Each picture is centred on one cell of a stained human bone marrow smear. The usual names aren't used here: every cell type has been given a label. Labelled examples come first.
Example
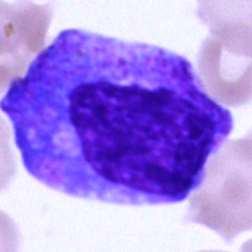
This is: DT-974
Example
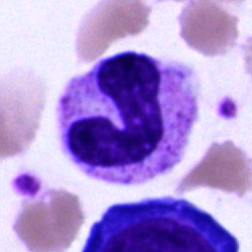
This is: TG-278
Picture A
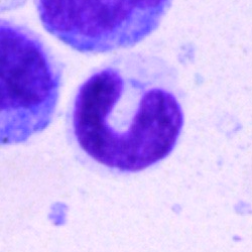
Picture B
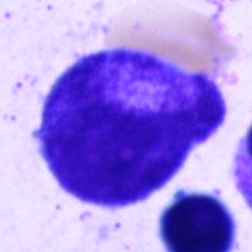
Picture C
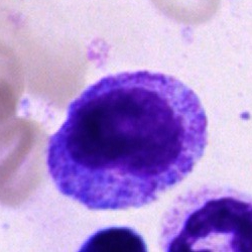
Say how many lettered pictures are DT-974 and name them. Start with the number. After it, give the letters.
Count: 2 (B, C)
